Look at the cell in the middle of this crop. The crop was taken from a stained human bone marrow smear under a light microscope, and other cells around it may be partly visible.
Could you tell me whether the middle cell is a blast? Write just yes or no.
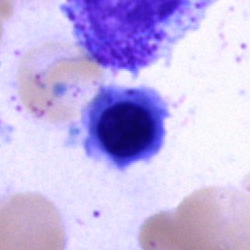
no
